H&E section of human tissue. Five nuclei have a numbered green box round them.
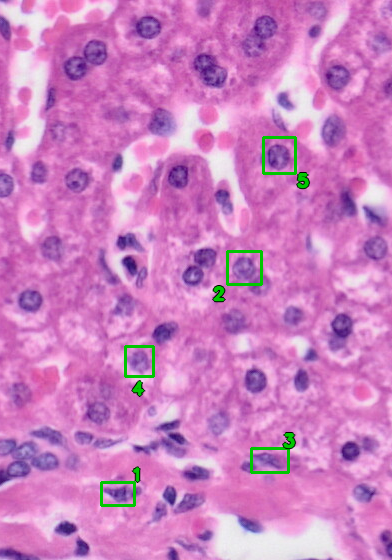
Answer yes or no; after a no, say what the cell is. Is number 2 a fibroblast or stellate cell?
No, it is a hepatocyte.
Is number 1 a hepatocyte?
No, it is a fibroblast or stellate cell.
